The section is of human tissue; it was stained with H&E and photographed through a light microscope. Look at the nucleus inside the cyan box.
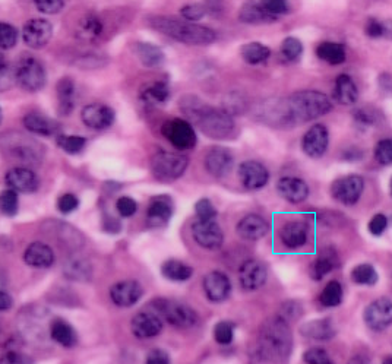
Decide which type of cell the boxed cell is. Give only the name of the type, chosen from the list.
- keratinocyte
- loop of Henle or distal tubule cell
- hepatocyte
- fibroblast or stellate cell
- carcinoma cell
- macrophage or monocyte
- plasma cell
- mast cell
plasma cell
